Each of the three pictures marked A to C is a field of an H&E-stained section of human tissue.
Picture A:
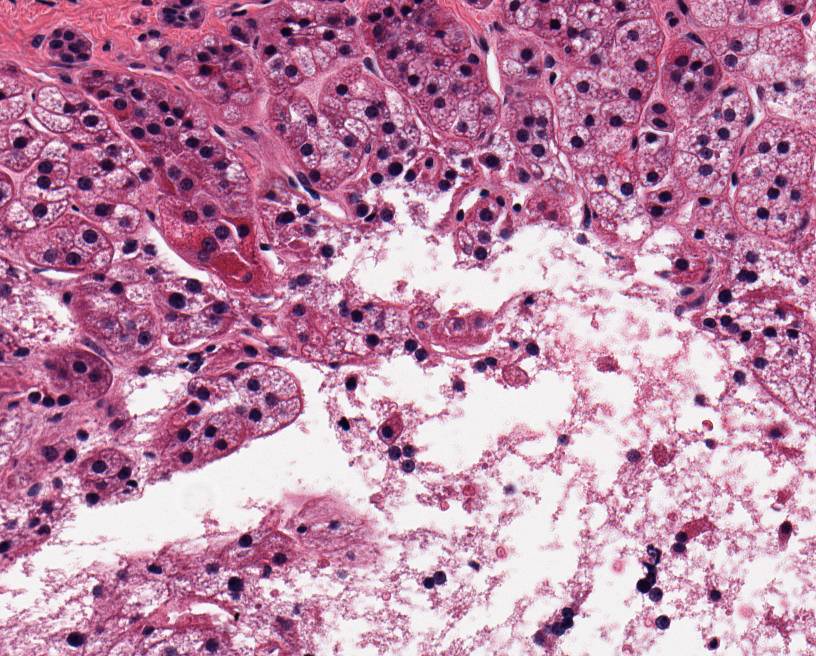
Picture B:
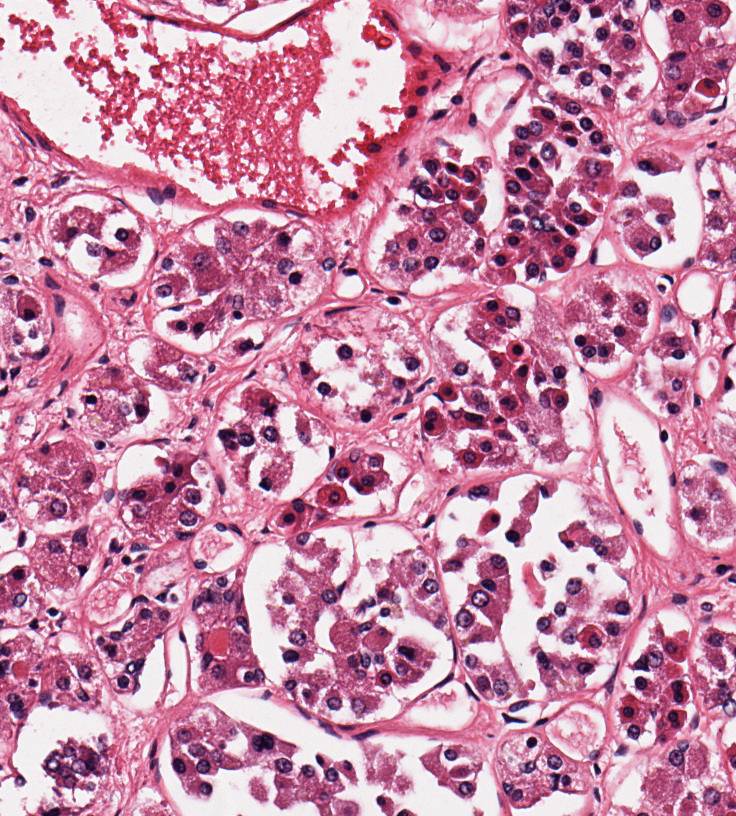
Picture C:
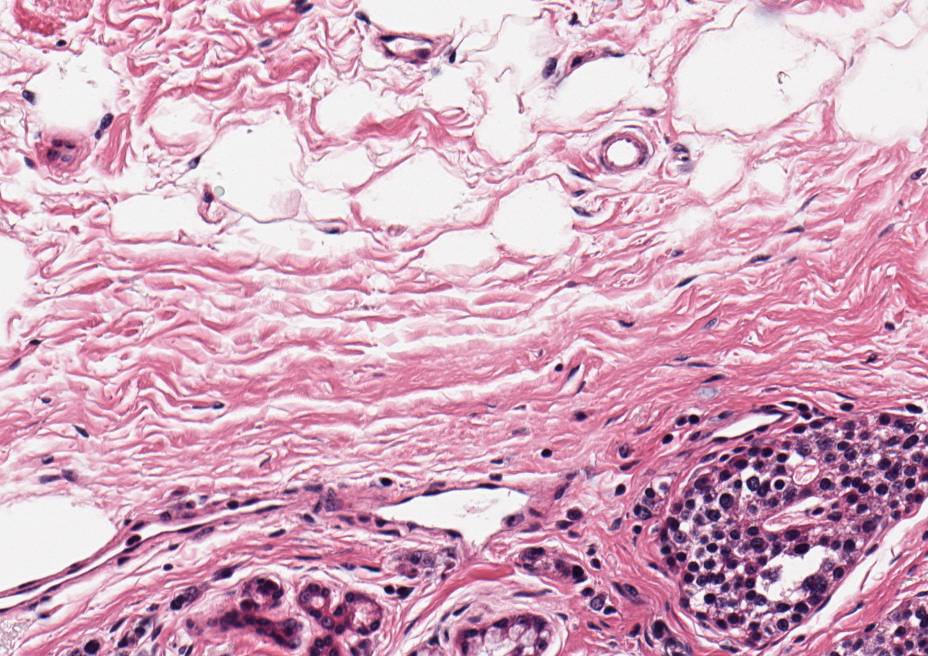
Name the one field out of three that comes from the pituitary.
B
